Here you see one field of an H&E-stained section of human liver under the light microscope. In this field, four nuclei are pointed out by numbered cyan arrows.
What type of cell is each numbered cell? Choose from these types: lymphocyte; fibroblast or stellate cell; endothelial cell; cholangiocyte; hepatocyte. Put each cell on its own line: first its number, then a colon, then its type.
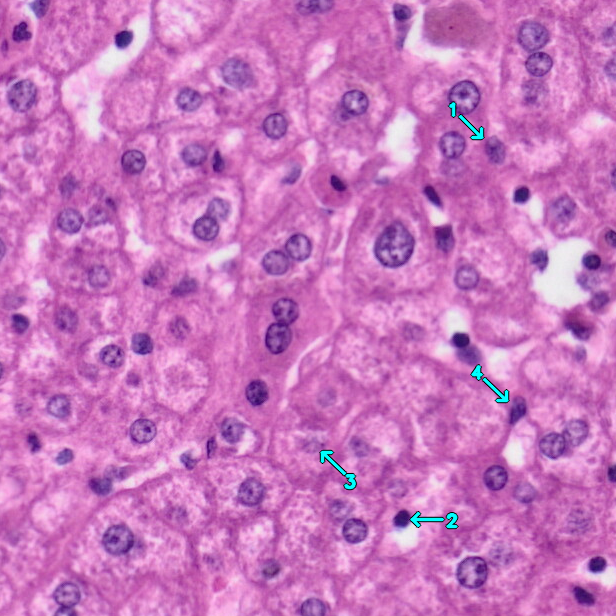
1: endothelial cell
2: lymphocyte
3: hepatocyte
4: fibroblast or stellate cell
